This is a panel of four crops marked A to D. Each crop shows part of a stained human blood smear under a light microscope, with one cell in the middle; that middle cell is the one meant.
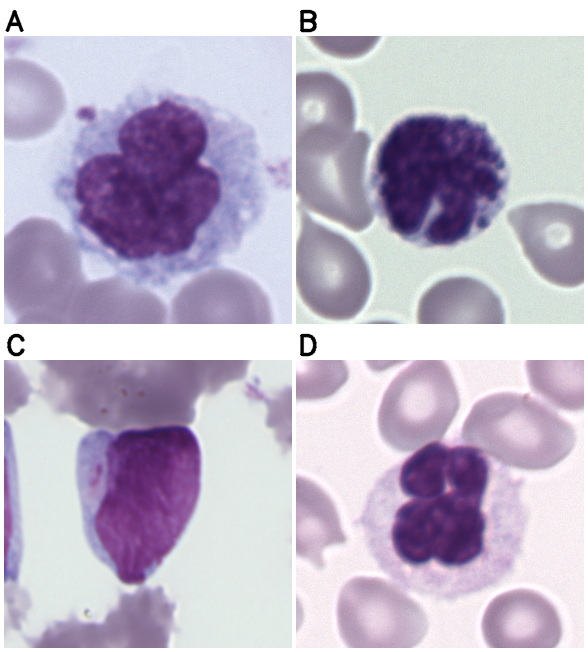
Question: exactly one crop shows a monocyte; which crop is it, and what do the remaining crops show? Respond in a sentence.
There is a monocyte in crop A, while crop B is a basophil, crop C is a myeloblast and crop D is a segmented neutrophil.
